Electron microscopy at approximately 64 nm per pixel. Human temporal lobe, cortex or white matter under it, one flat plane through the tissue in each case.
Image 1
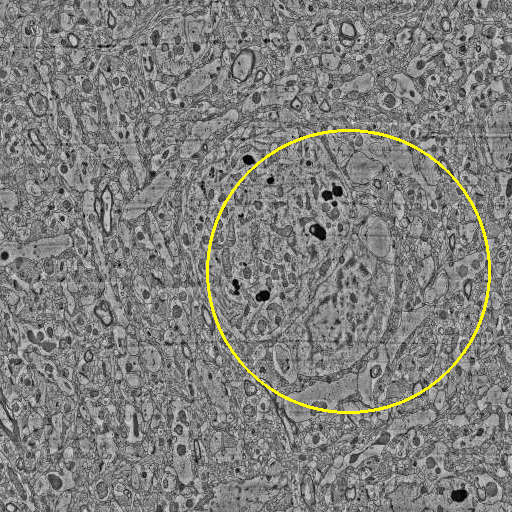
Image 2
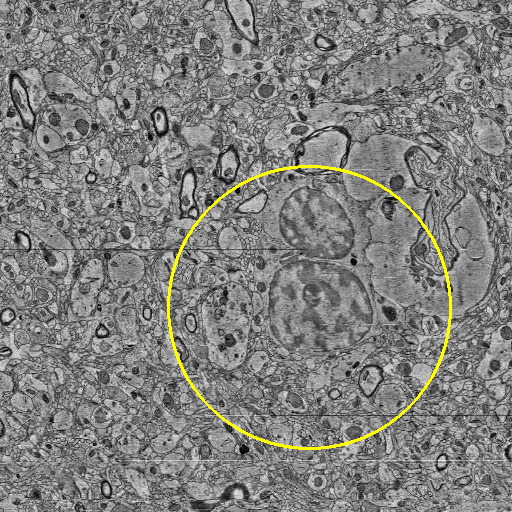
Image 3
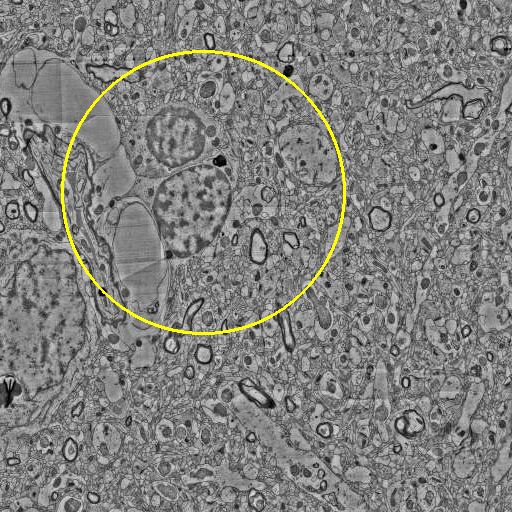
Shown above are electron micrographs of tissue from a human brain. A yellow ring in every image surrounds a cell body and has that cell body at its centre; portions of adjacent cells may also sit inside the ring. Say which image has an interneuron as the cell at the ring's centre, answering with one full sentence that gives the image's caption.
The image whose ring is centred on the requested cell is Image 1.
